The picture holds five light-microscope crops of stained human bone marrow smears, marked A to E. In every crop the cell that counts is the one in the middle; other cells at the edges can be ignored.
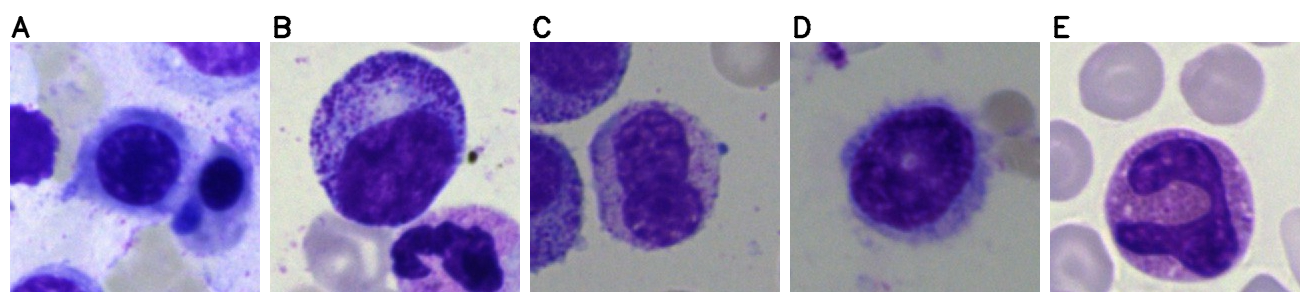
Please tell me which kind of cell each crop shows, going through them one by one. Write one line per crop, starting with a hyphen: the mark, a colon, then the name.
- A: erythroblast
- B: myelocyte
- C: band neutrophil
- D: hairy cell
- E: eosinophil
